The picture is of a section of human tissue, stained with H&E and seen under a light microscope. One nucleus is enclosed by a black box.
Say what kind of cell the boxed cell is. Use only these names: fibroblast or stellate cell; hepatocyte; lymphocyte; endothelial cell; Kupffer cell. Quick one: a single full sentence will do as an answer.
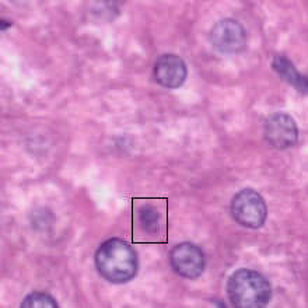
As a matter of cell type, the boxed cell is a fibroblast or stellate cell.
